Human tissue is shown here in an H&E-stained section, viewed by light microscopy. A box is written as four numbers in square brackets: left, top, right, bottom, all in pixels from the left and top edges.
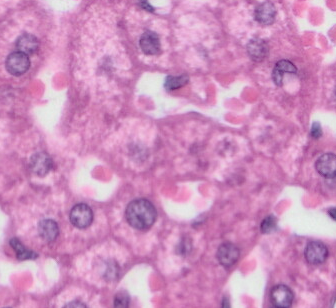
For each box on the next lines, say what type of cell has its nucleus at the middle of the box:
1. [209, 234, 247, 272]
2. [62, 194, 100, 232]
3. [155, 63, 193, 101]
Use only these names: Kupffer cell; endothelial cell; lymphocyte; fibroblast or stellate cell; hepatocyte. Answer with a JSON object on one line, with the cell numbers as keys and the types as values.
{"1": "hepatocyte", "2": "hepatocyte", "3": "Kupffer cell"}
